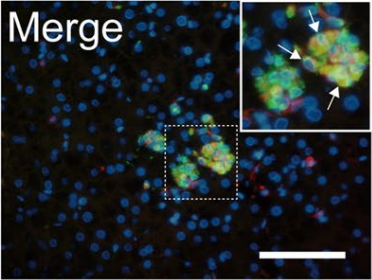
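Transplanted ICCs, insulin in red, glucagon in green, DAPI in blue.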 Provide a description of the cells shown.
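The cytoplasm of cells in the clusters shows red and green staining, which overlaps to yellow in many of them. In the magnified inset, individual cells with round blue nuclei are packed closely together within the clusters. Cells outside the clusters show only blue nuclei, with a few small red dots scattered in the surrounding tissue.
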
